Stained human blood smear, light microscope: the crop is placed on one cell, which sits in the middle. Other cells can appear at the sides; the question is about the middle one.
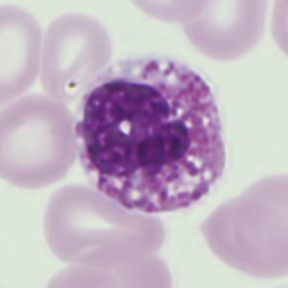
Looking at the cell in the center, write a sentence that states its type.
In short, the cell at the center is an eosinophil.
